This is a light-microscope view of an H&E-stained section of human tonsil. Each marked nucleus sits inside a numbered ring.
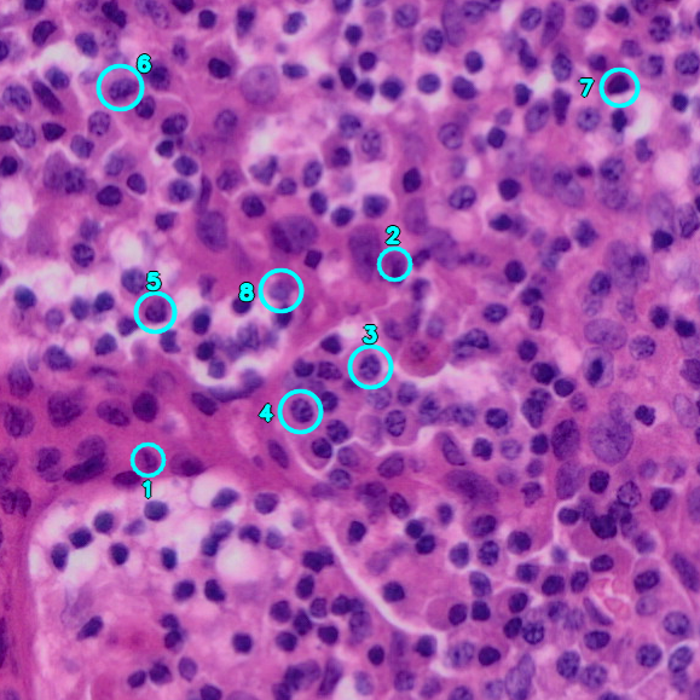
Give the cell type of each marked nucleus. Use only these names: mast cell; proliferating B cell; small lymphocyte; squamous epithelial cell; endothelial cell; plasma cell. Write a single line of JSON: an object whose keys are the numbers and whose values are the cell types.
{"1": "squamous epithelial cell", "2": "squamous epithelial cell", "3": "plasma cell", "4": "plasma cell", "5": "plasma cell", "6": "plasma cell", "7": "plasma cell", "8": "squamous epithelial cell"}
